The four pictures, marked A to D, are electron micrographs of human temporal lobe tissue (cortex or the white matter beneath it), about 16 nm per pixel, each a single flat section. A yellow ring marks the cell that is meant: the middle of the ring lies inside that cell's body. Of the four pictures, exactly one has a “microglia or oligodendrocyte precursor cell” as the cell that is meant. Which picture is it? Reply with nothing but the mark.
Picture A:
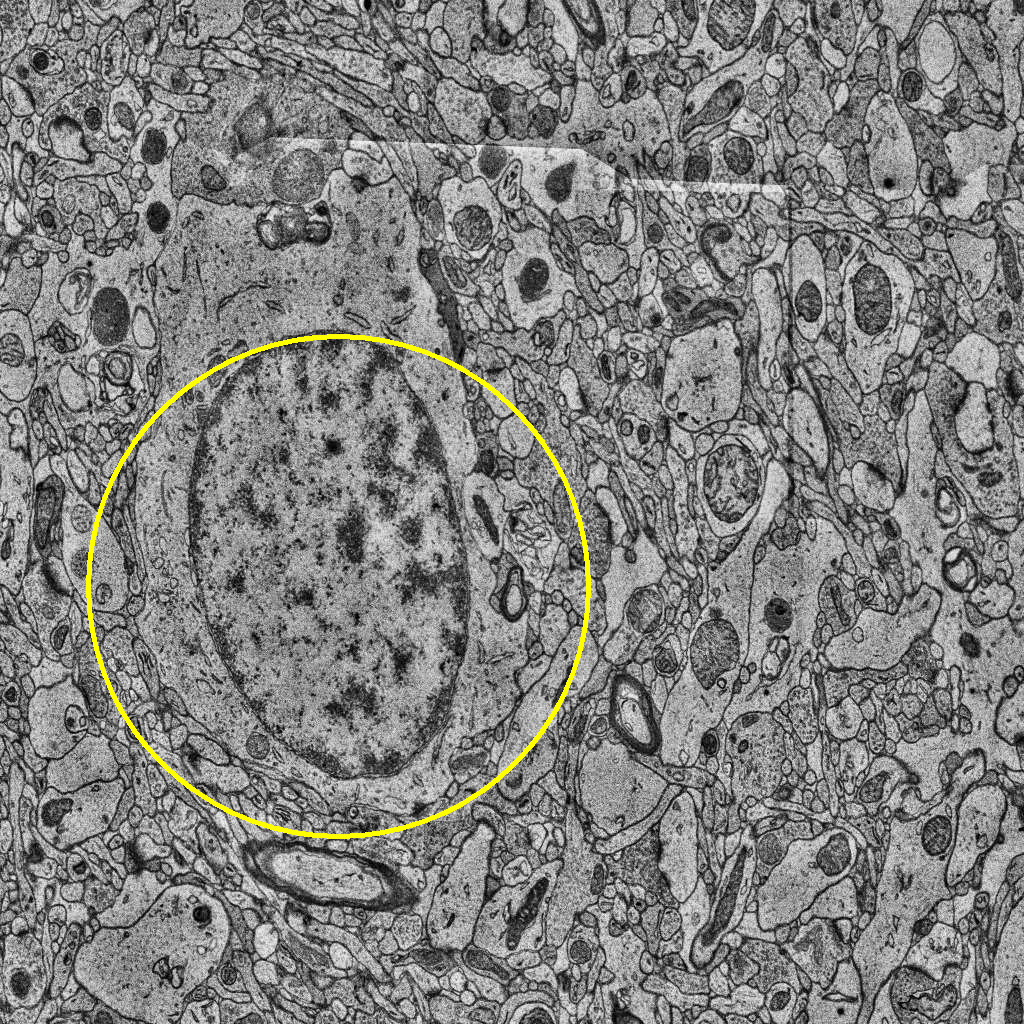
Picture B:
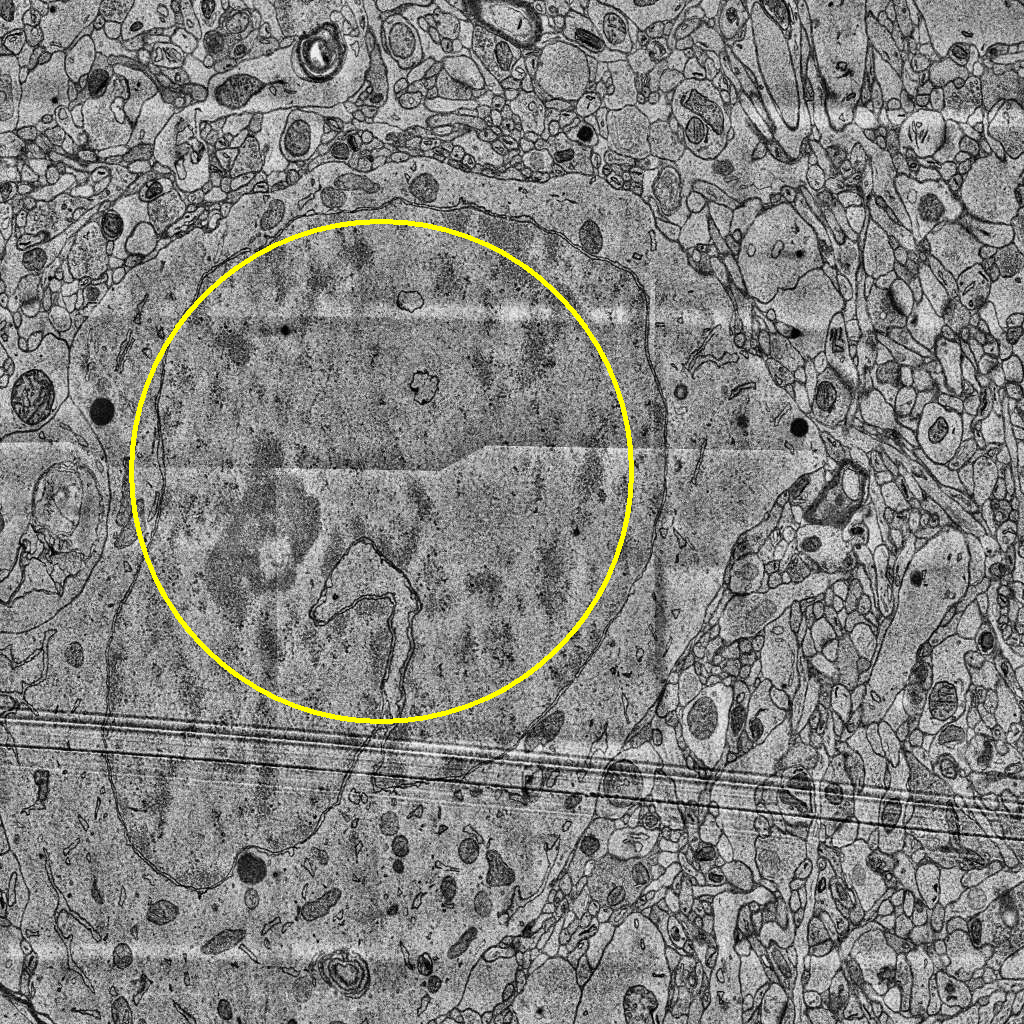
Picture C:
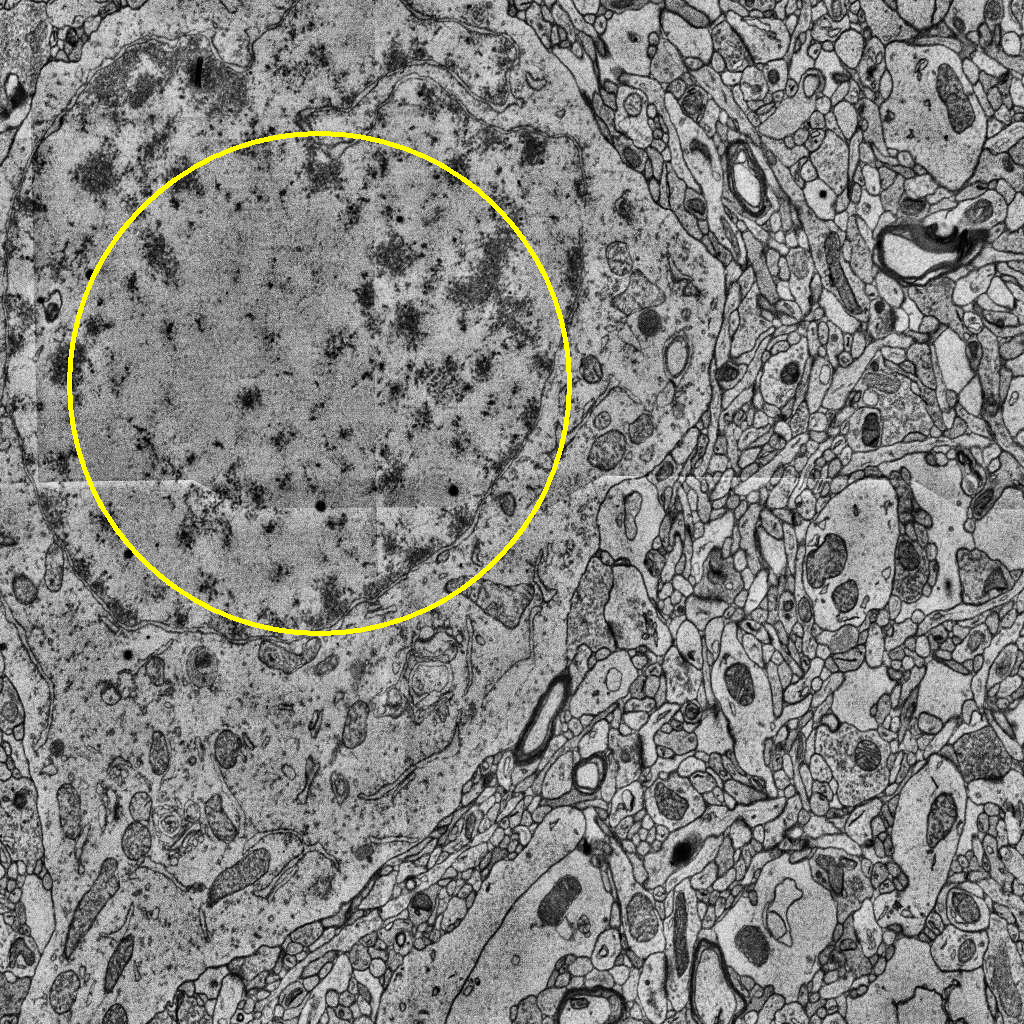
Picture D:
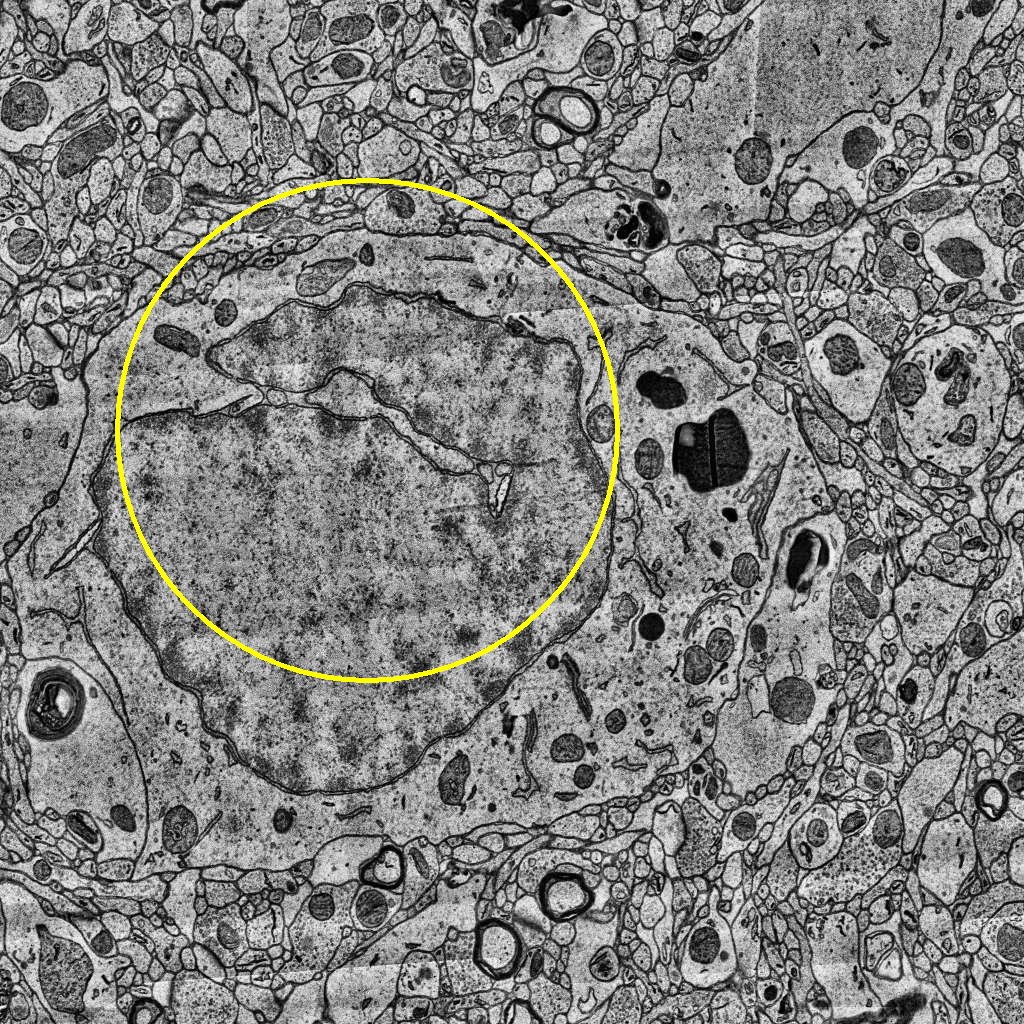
A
